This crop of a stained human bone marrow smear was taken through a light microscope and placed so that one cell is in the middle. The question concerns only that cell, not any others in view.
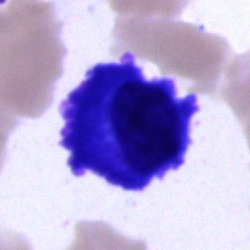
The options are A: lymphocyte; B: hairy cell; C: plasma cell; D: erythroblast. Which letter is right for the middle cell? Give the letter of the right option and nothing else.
C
